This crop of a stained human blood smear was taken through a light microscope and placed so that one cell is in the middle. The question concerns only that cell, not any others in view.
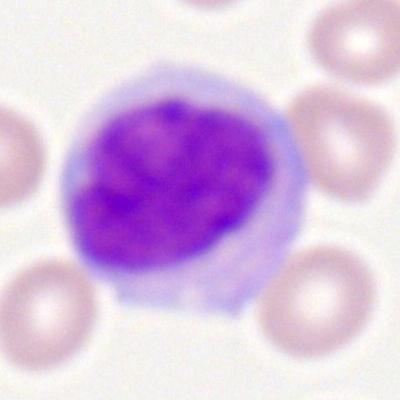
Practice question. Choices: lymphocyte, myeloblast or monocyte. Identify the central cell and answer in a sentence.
Positioned in the middle of the crop is a monocyte.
